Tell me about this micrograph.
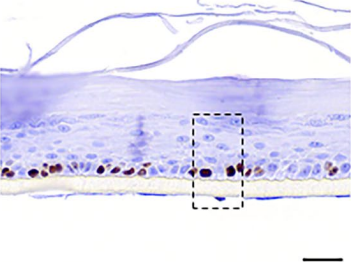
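A stratified squamous epithelium sits on a pale, featureless support, with a thick layered cornified sheet on top and loose flakes lifting from it. The bottom row of cells is cuboidal and densely packed, and many of their nuclei are stained dark brown while the rest are blue. Above them the cells enlarge with round blue nuclei and then flatten toward the surface.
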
